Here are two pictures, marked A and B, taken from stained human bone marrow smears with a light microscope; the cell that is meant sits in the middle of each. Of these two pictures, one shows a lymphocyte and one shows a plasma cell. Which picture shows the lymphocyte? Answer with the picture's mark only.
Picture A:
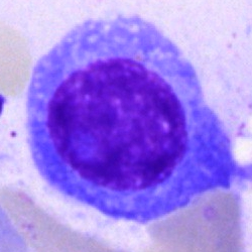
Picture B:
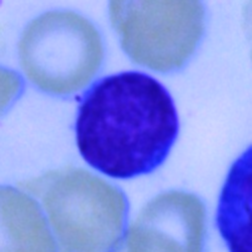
B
